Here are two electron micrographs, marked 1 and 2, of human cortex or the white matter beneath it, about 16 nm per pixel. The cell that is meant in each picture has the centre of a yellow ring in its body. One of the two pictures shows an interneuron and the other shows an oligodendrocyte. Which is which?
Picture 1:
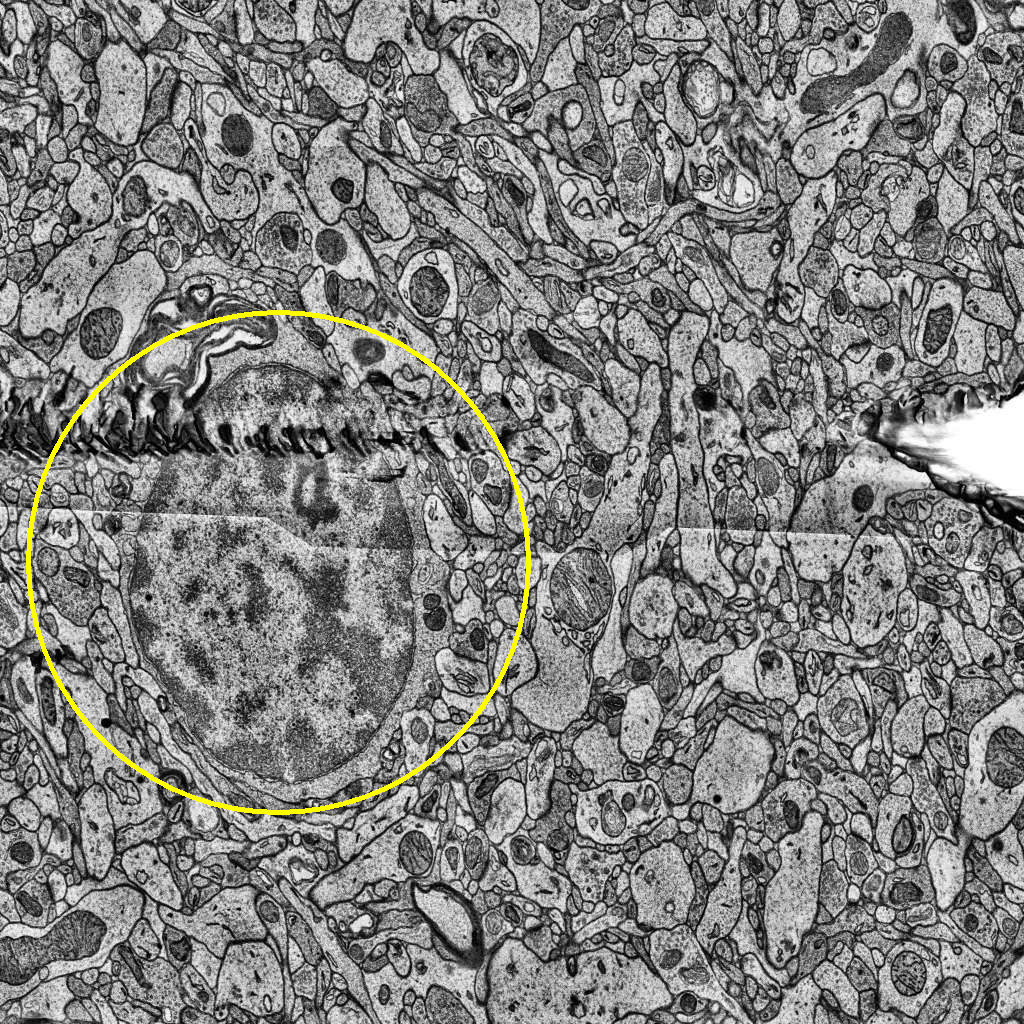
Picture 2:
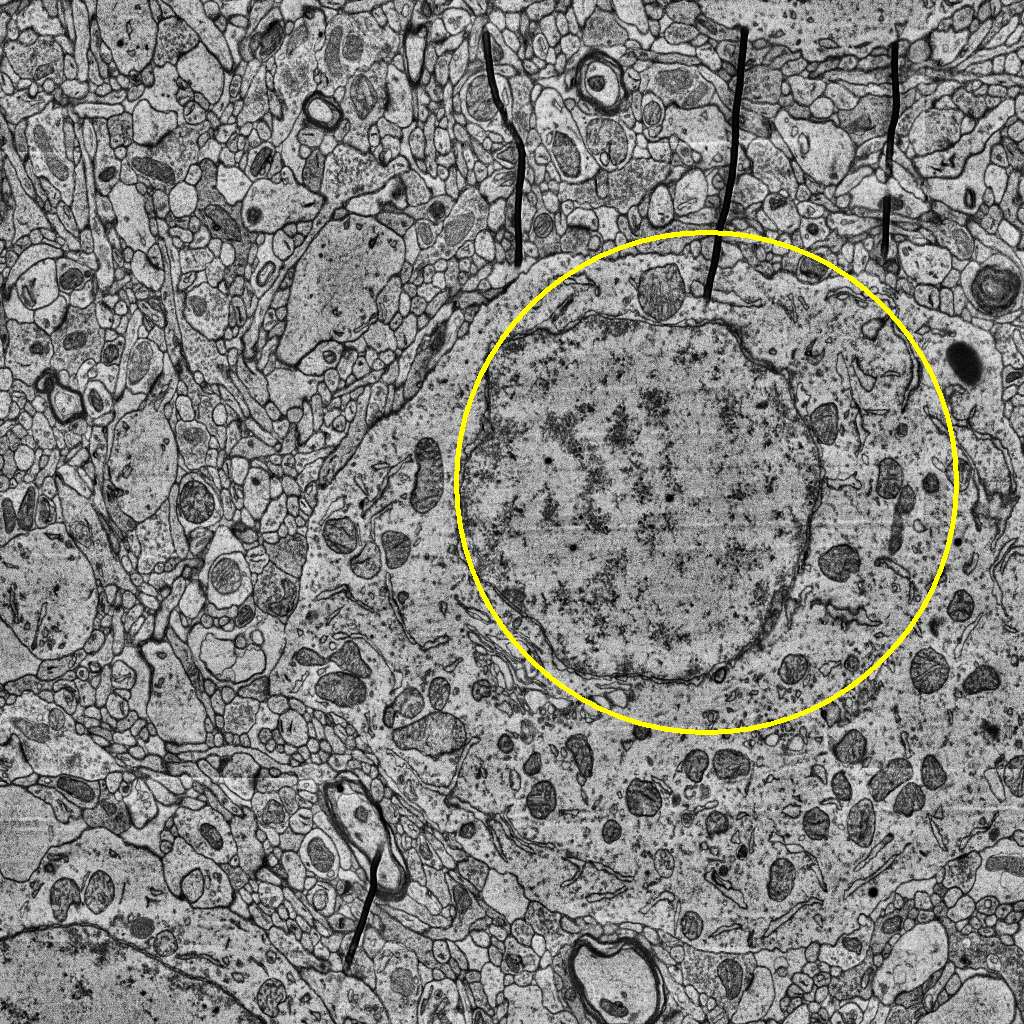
Picture 1 shows an oligodendrocyte and picture 2 shows an interneuron.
